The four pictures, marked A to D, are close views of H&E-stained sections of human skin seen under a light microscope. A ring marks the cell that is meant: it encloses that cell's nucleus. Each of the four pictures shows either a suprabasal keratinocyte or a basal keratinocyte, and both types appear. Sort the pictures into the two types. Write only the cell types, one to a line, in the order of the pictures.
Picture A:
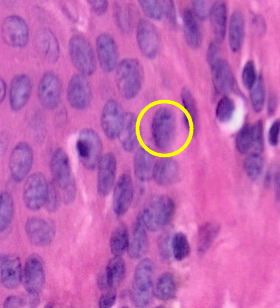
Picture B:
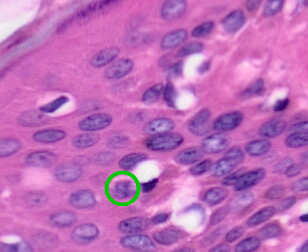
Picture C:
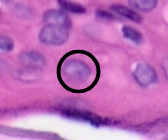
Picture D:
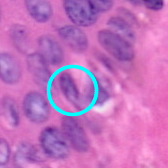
basal keratinocyte
basal keratinocyte
suprabasal keratinocyte
basal keratinocyte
